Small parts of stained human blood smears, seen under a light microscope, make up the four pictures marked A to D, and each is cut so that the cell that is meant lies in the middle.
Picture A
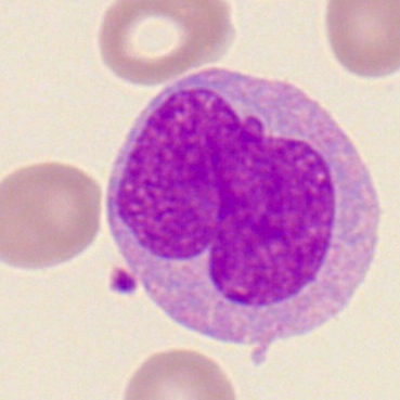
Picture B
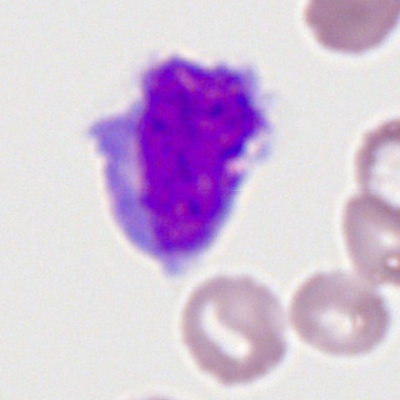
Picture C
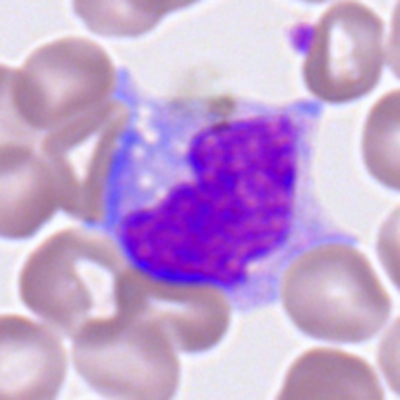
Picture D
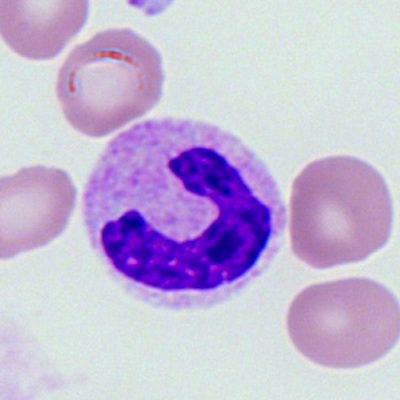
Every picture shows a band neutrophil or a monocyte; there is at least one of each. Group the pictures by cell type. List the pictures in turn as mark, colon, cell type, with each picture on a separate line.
A: monocyte
B: monocyte
C: monocyte
D: band neutrophil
